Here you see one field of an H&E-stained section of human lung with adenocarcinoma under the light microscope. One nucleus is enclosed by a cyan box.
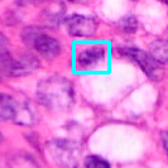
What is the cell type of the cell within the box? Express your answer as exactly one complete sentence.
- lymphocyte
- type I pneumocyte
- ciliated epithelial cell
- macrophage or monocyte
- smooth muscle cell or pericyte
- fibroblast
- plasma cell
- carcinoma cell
Within the stained tissue, the cell within the box is a ciliated epithelial cell.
